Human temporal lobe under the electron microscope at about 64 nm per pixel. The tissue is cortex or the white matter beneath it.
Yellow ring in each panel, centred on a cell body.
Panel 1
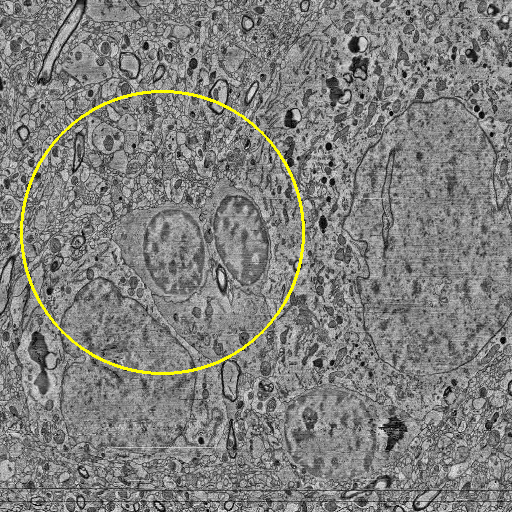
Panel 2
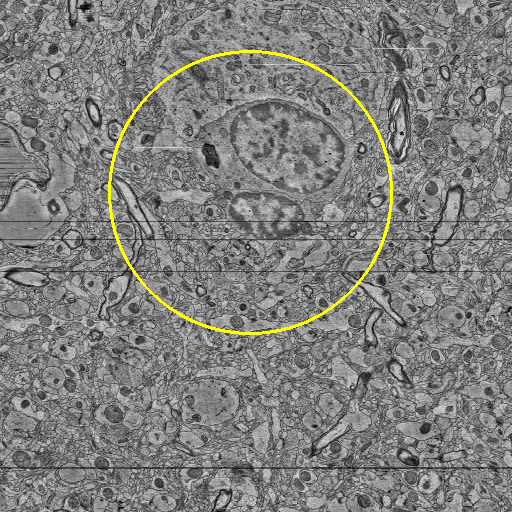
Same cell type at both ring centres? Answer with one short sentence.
Yes, both cells are of the same type.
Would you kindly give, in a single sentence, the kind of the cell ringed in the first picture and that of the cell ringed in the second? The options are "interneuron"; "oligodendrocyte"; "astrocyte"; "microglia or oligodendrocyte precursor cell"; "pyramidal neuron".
In both pictures the ring is centred on an oligodendrocyte.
